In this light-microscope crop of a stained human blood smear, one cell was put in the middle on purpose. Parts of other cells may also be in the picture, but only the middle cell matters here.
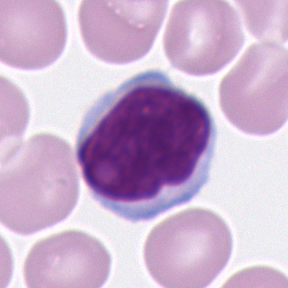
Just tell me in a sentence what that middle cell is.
Present in the middle of the crop is a typical lymphocyte.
